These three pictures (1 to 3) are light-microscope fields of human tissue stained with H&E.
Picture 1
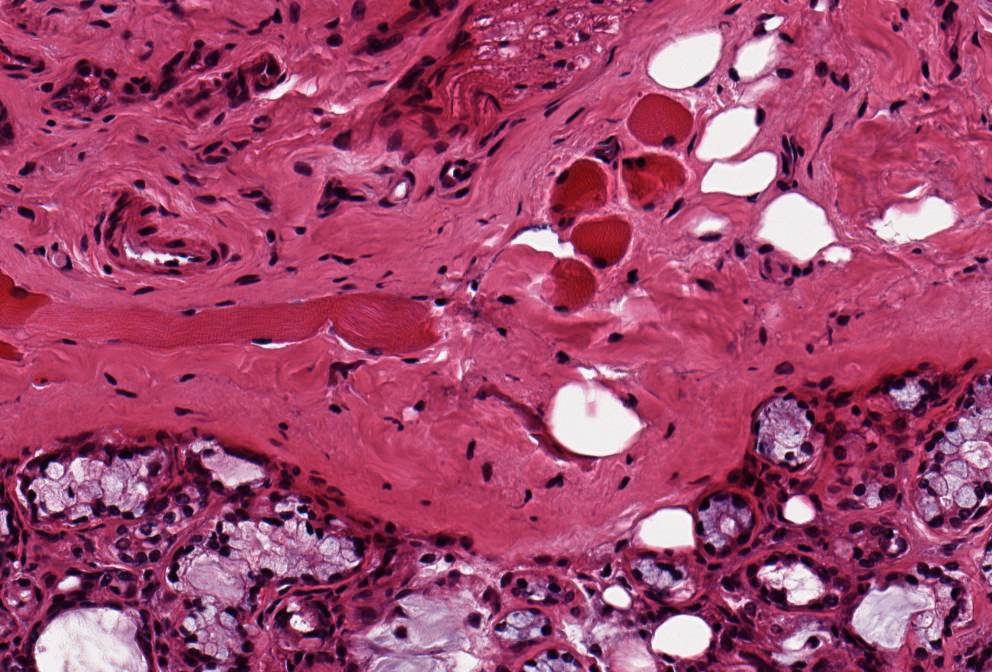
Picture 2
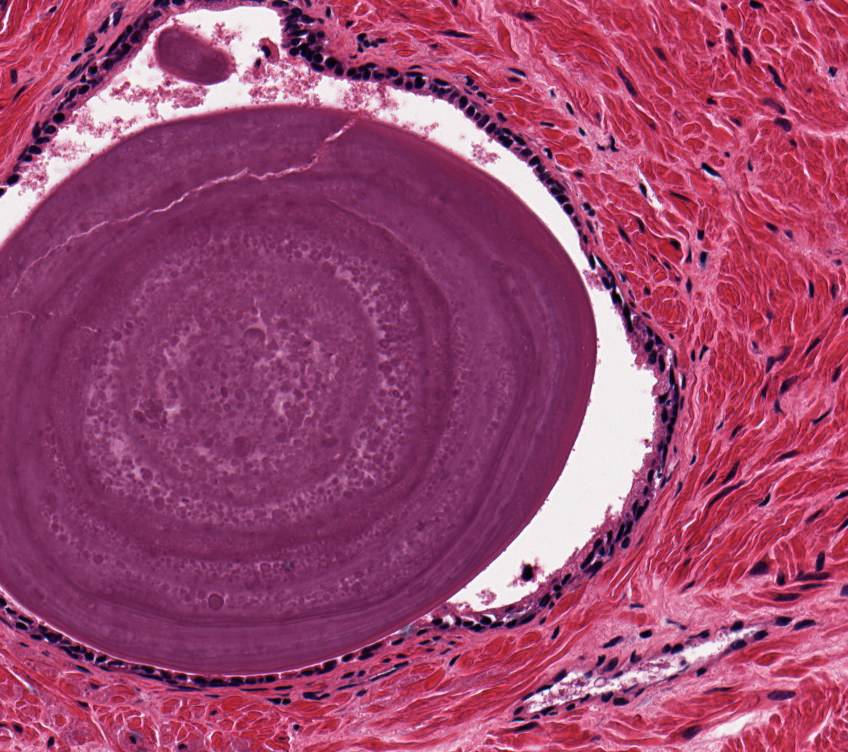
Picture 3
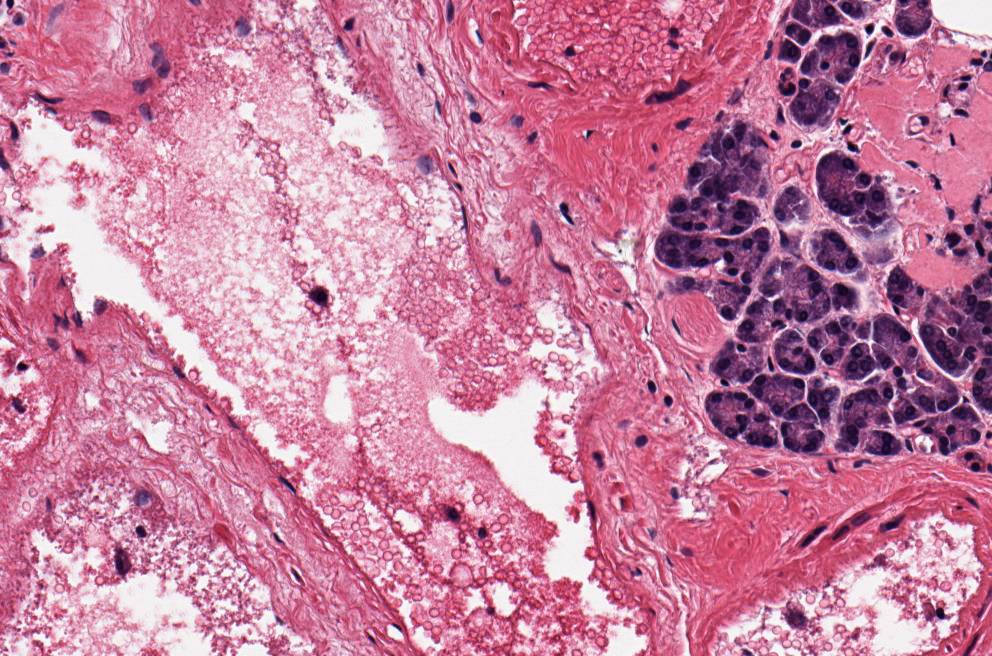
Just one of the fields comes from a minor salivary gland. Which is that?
1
